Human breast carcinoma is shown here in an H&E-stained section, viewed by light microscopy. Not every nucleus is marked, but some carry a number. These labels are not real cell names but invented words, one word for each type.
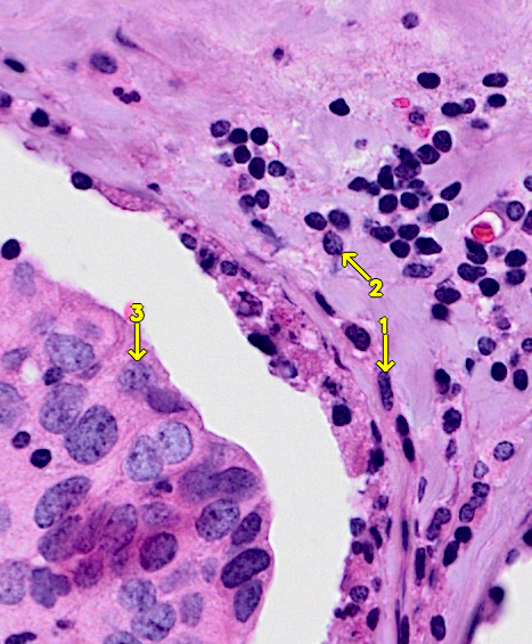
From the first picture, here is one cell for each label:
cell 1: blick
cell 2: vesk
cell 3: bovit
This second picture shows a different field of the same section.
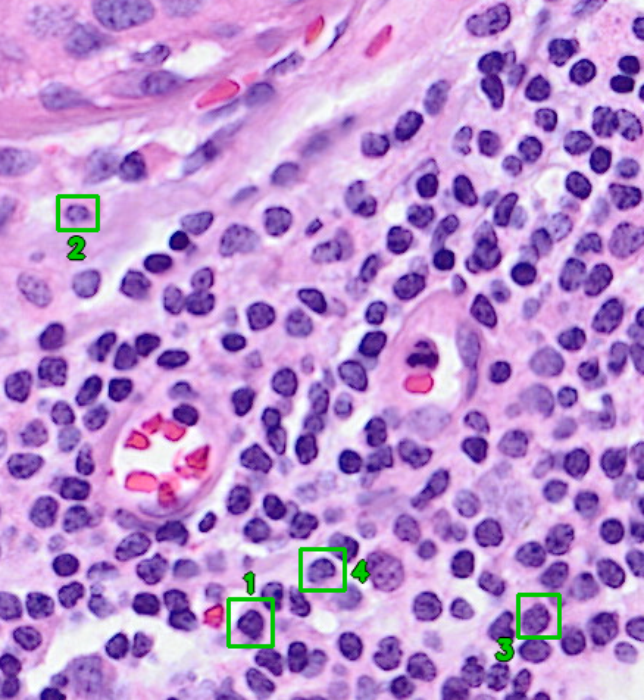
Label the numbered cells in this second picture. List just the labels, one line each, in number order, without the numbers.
vesk
blick
vesk
vesk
